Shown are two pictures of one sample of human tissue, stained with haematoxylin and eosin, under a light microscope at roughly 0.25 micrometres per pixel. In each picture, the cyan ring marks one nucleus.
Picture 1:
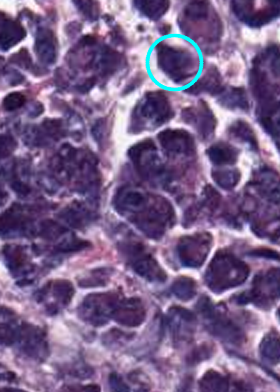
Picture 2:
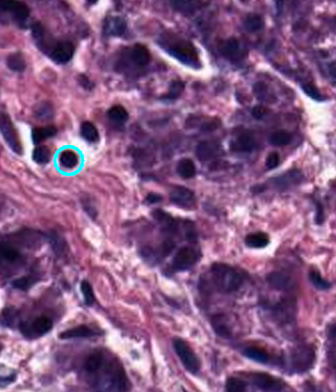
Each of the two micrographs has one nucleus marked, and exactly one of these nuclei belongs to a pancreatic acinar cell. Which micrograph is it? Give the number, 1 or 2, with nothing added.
1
